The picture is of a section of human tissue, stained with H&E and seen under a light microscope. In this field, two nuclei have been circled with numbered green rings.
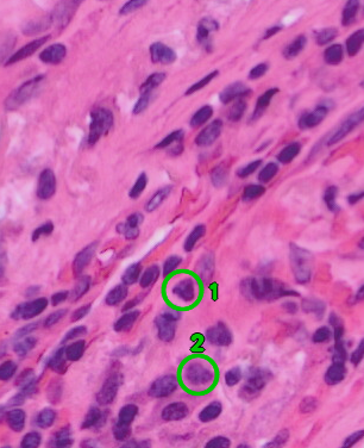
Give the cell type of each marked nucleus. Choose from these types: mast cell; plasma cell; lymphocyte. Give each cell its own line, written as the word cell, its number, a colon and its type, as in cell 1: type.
cell 1: lymphocyte
cell 2: plasma cell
